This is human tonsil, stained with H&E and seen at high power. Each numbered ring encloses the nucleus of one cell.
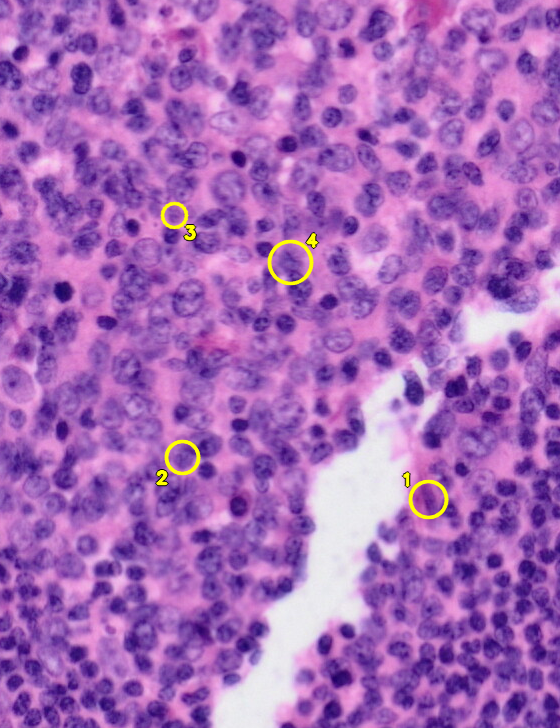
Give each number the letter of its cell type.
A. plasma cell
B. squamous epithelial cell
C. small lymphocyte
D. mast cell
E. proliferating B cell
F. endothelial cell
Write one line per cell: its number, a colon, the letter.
1: F
2: E
3: E
4: E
